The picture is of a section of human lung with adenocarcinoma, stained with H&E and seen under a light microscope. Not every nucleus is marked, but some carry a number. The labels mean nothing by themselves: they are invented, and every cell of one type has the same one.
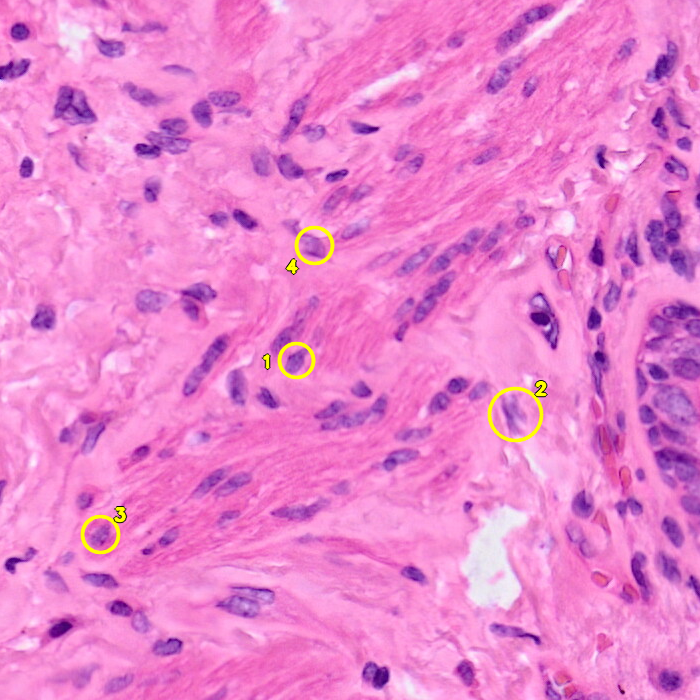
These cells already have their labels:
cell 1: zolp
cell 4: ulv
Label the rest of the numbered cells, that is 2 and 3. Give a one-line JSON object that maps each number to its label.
{"2": "ulv", "3": "zolp"}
